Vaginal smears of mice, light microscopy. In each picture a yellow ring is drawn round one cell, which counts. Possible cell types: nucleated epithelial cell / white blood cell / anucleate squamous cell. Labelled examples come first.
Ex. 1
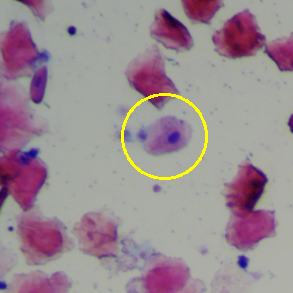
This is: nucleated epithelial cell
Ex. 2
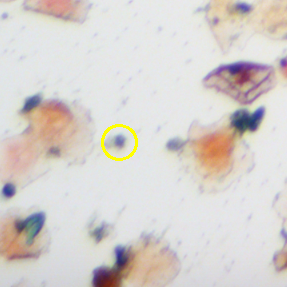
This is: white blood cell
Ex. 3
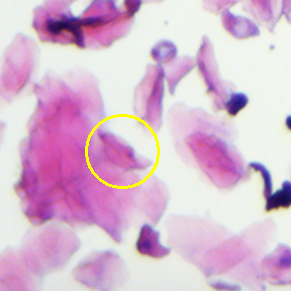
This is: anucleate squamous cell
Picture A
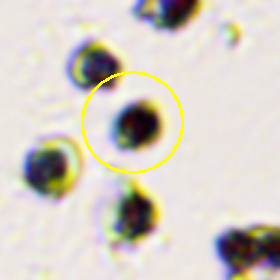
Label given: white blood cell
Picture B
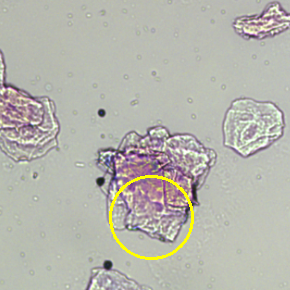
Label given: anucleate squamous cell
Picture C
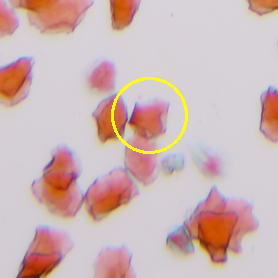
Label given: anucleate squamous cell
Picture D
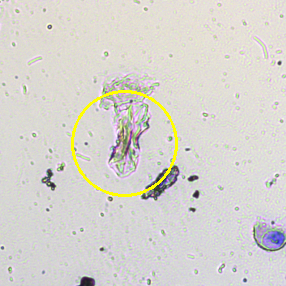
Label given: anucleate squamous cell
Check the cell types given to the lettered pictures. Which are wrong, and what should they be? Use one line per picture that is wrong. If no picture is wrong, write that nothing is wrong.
None of the labels needs changing.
